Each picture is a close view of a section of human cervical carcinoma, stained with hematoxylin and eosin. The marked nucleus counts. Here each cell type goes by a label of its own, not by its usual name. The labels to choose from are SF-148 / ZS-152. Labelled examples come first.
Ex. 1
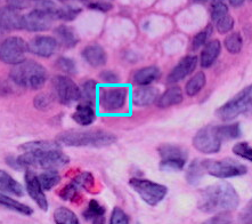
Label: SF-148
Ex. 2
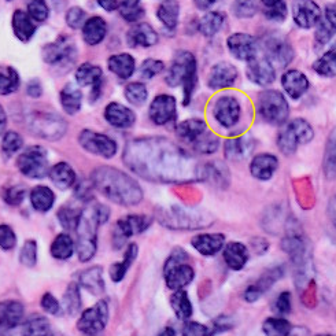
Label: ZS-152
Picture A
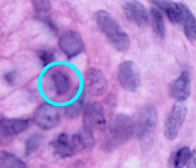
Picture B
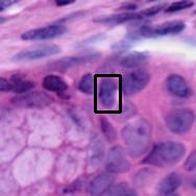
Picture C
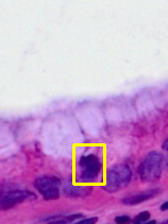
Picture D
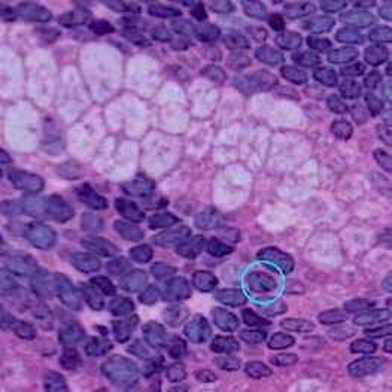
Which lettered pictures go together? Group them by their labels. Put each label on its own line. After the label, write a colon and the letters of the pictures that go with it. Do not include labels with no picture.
SF-148: A, B, C, D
